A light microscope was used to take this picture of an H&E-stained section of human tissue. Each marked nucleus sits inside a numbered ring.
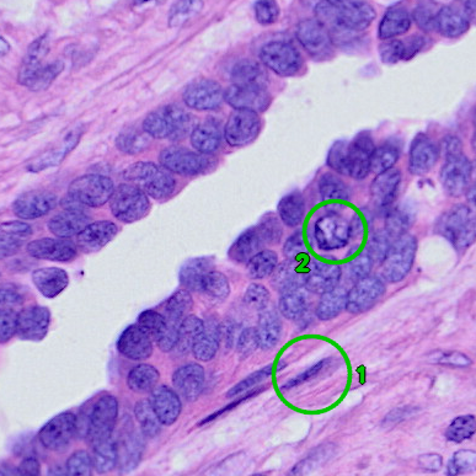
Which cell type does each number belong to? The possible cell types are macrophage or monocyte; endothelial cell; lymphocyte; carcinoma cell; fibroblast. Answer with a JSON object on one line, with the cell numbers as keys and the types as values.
{"1": "fibroblast", "2": "carcinoma cell"}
